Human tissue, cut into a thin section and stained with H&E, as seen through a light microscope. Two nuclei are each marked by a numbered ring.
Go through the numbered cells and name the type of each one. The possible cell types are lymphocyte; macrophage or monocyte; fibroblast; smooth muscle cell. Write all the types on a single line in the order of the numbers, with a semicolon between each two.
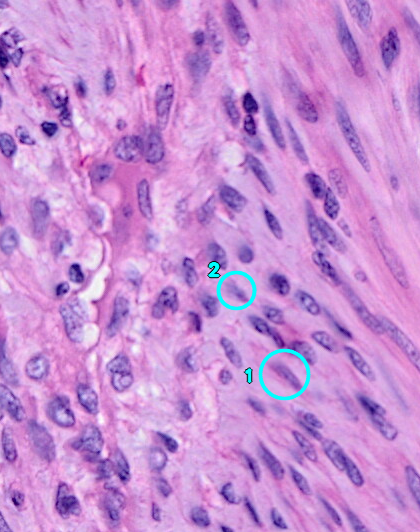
smooth muscle cell; fibroblast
